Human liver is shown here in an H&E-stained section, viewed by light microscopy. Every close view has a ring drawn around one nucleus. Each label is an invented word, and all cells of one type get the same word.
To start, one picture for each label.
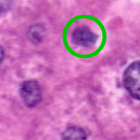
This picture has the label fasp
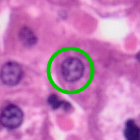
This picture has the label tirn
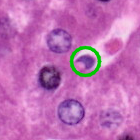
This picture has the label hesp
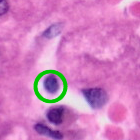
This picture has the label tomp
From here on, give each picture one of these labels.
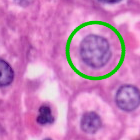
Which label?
tirn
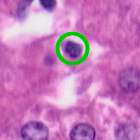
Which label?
tomp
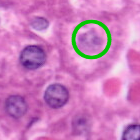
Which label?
tirn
